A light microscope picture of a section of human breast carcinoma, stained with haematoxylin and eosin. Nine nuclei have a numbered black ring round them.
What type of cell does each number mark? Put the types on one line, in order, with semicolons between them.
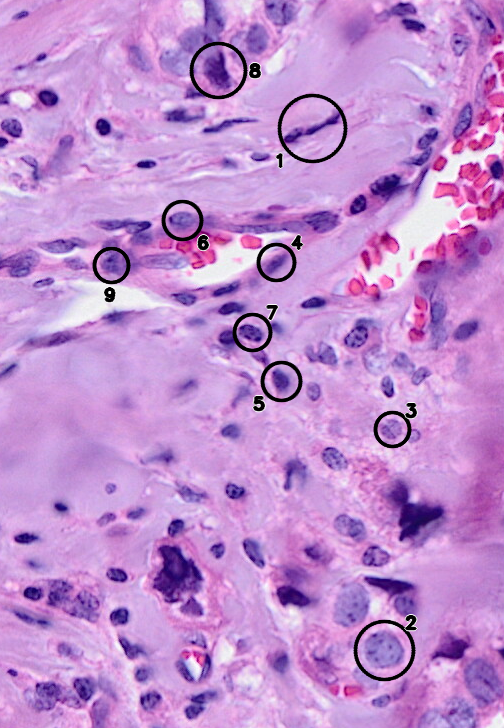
fibroblast; carcinoma cell; macrophage, monocyte or dendritic cell; endothelial cell; lymphocyte; endothelial cell; lymphocyte; carcinoma cell; endothelial cell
